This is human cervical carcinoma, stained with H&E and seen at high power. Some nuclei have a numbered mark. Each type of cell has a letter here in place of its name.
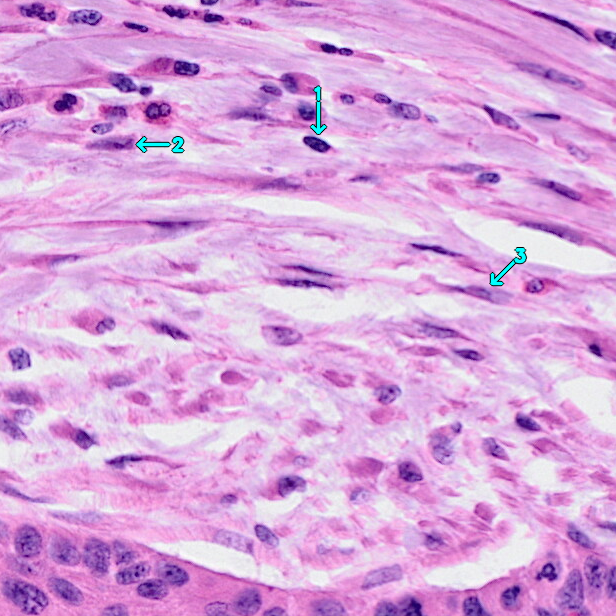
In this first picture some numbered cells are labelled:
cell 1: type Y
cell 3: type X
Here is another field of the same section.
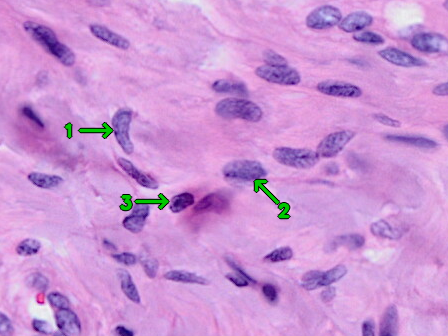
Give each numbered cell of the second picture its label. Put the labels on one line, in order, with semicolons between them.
type X; type X; type Y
